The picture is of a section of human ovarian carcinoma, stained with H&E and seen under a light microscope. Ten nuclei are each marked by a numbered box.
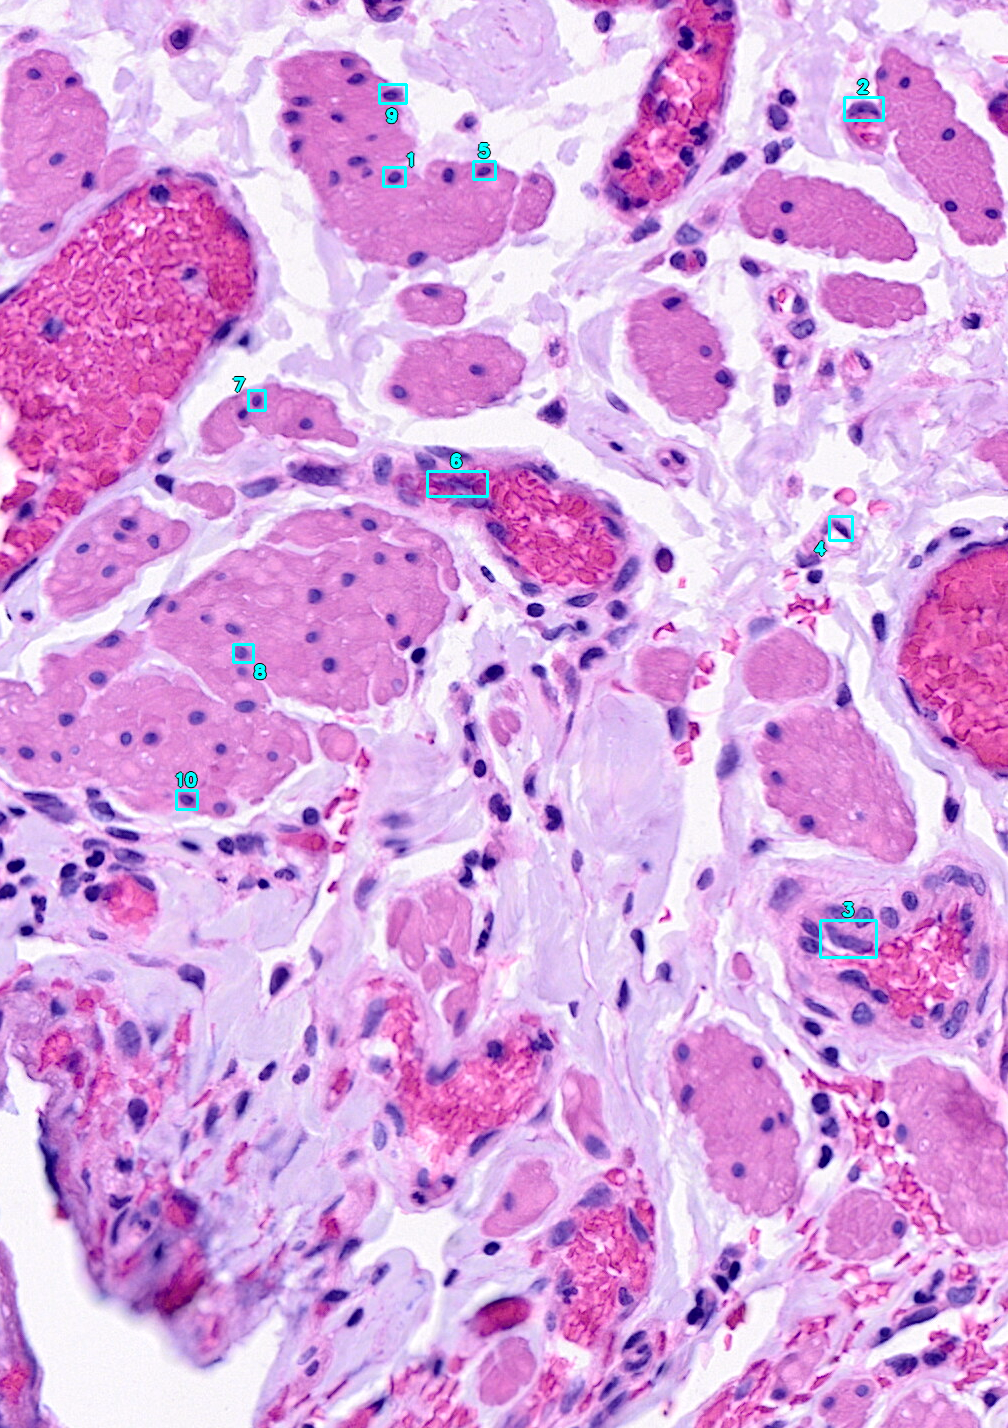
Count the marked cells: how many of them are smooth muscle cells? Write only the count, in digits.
6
